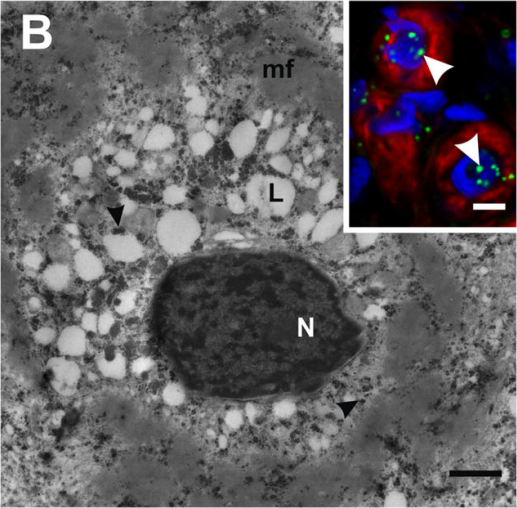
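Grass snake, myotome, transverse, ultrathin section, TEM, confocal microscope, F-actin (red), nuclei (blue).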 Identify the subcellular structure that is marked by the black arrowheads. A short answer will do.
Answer: Glycogen granules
